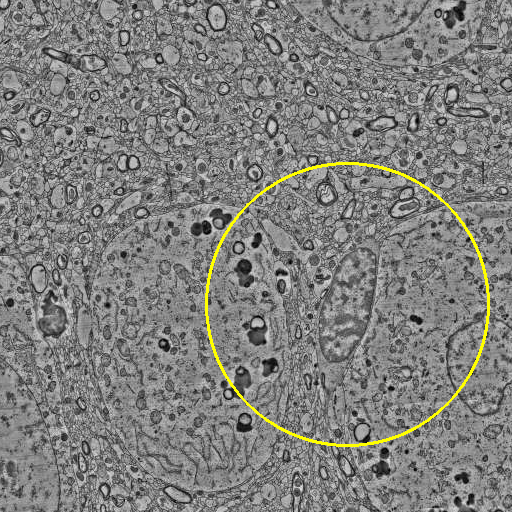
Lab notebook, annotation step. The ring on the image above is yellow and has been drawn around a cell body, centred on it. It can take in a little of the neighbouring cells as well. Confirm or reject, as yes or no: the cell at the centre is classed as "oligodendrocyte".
Yes, confirmed for that class.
